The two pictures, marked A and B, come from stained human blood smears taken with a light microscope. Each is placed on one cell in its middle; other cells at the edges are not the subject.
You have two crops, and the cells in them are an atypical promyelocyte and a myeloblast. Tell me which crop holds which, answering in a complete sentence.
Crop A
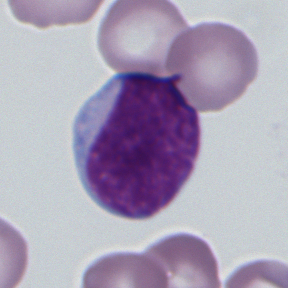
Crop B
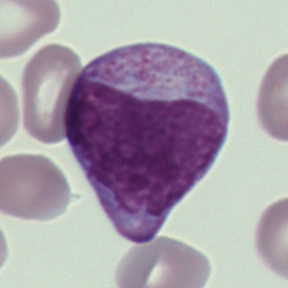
Found in crop A is a myeloblast; found in crop B is an atypical promyelocyte.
